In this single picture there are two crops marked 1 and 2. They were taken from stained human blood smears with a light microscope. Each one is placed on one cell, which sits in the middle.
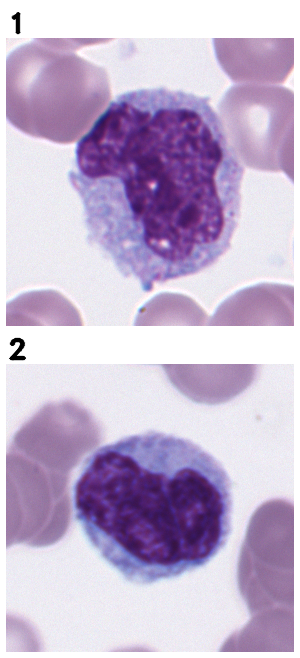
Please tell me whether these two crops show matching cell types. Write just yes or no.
yes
